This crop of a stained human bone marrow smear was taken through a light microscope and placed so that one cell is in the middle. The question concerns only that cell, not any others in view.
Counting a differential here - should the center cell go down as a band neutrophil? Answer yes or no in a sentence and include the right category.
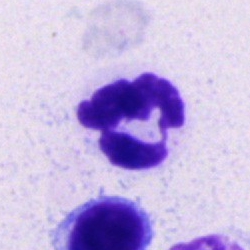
No, the central cell is designated a segmented neutrophil and not a band neutrophil.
